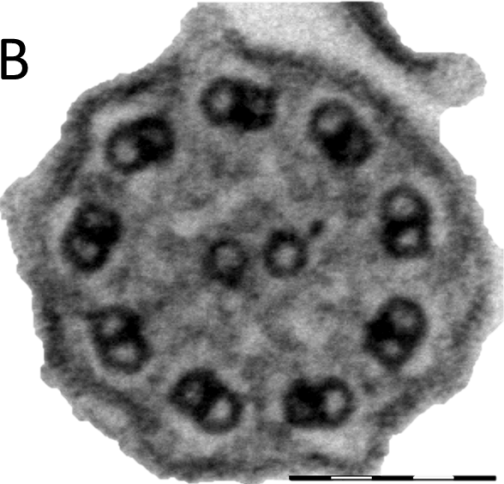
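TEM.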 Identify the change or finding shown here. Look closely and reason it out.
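Nine peripheral doublets ring a central pair. The doublets lack clear arm projections toward their neighbours. On this evidence: outer and inner dynein arm defect.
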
